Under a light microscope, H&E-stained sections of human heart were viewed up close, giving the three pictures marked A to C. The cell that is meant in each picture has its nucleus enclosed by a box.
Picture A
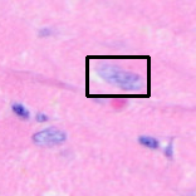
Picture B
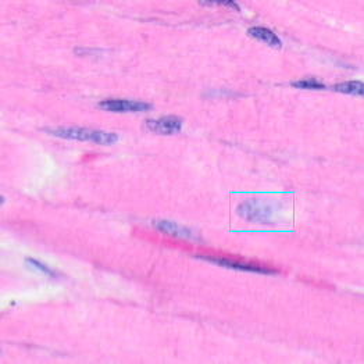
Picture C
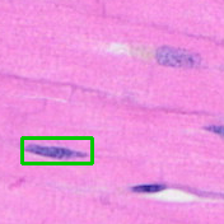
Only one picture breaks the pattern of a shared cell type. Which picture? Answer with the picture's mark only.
C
